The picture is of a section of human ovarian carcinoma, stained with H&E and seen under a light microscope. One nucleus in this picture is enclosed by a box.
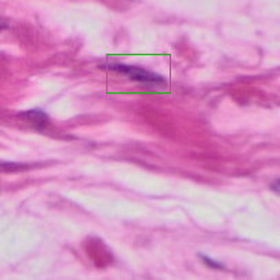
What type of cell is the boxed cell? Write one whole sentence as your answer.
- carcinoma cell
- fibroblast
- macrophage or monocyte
It is as a fibroblast that the boxed cell is recorded.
